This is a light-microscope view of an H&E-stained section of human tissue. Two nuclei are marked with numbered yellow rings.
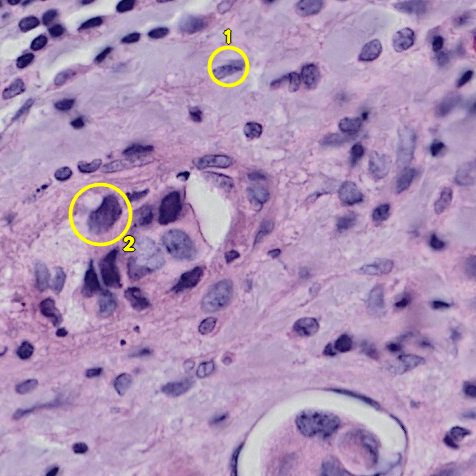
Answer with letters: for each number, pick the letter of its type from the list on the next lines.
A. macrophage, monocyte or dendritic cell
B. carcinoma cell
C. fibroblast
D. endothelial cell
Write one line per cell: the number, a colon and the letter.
1: C
2: B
